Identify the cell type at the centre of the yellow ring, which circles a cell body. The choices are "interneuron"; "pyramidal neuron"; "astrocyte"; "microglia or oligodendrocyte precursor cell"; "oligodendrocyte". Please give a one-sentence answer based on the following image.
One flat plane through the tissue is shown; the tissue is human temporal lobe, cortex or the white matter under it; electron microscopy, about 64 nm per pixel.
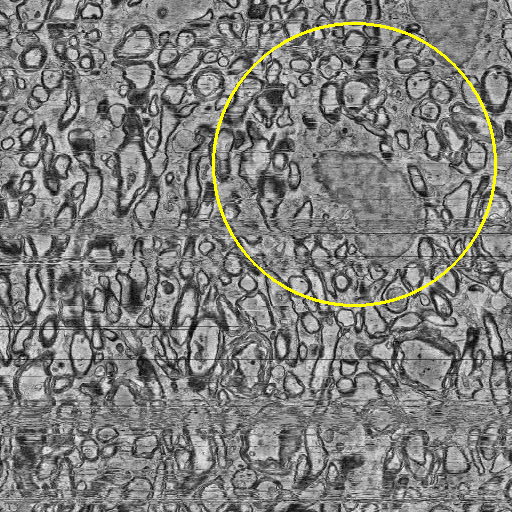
The cell marked by the ring is an oligodendrocyte.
